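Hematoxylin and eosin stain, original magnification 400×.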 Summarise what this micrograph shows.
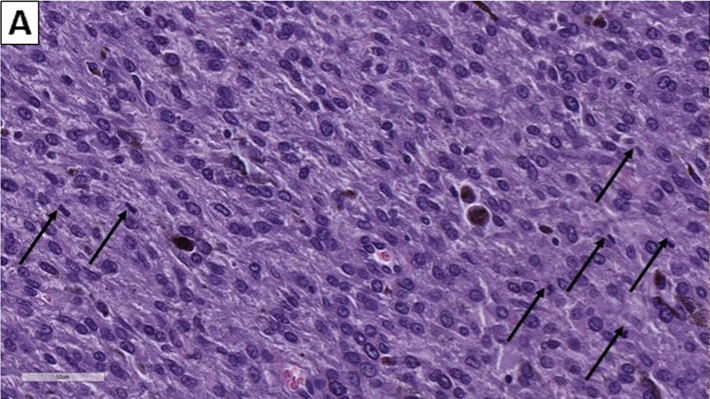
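A densely cellular tissue made of closely packed tumour-like cells, several of them in mitosis. Scattered cells contain dark brown granular pigment, some forming larger clumps. Thin-walled small vessels holding red blood cells lie among the cells. Black arrows point to several nuclei distributed across the field.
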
